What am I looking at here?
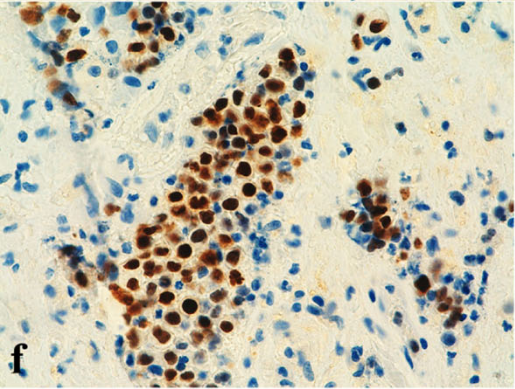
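The positive nuclei are round and crowded together, forming a dense elongated group with smaller clusters nearby. Around them lie scattered blue, unstained nuclei of stromal cells, some of them elongated, set in a pale, loose background. The staining is confined to the nuclei, with little colour in the surrounding cytoplasm or matrix.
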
